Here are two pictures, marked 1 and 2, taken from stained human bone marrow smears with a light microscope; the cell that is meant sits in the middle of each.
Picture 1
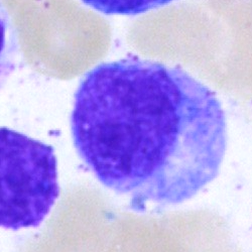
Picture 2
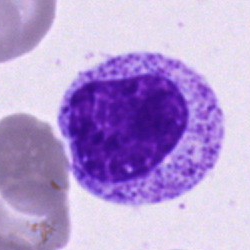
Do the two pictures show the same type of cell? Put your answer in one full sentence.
Yes, the two pictures both show myelocytes.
